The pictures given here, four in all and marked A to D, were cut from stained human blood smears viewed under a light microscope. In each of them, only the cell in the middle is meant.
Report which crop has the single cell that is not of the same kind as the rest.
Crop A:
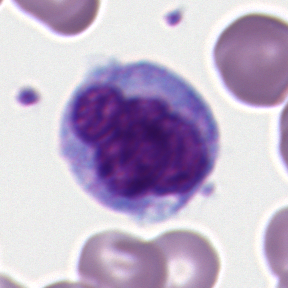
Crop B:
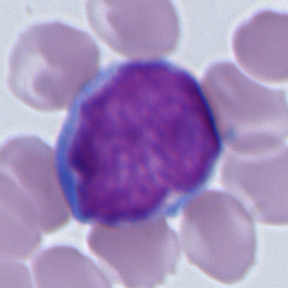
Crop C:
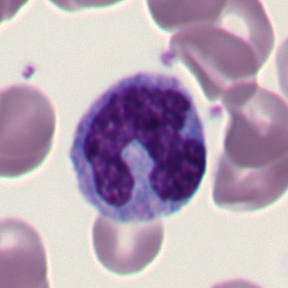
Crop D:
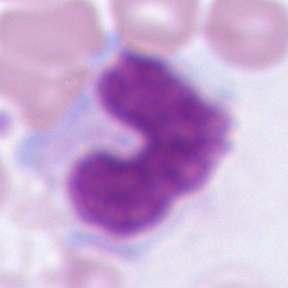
B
